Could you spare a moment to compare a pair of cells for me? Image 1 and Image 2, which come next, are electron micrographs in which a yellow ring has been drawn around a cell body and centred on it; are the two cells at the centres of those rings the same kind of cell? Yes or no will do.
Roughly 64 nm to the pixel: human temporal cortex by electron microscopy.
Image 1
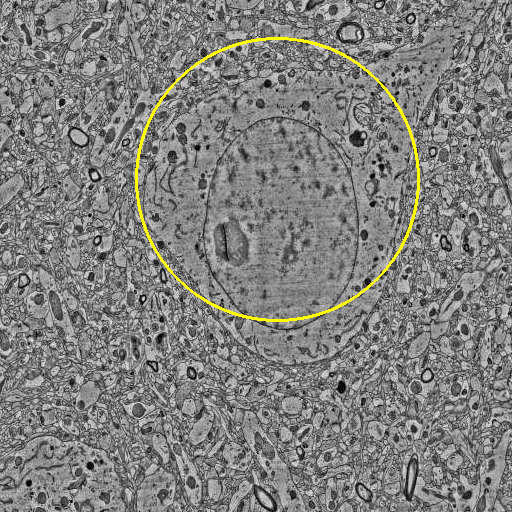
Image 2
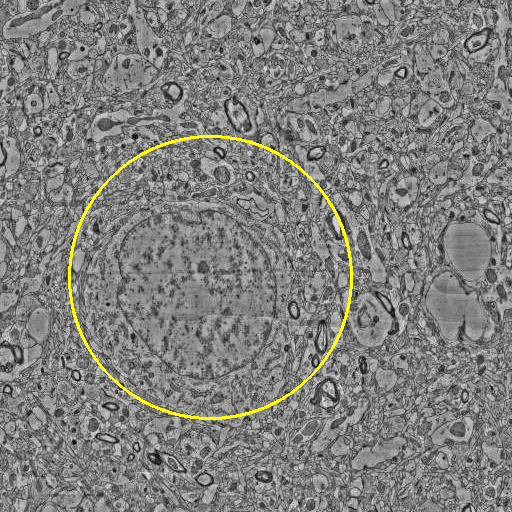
no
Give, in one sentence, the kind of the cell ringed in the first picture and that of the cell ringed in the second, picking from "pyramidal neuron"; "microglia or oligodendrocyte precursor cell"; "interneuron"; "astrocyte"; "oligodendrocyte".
For the first picture it is a pyramidal neuron; for the second, an interneuron.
